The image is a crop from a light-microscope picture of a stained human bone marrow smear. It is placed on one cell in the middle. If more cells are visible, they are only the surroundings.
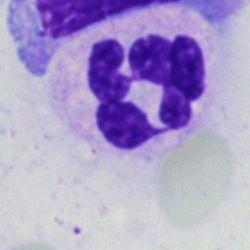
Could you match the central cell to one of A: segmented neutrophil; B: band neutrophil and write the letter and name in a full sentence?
The central cell is a segmented neutrophil, which makes option A the right answer.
